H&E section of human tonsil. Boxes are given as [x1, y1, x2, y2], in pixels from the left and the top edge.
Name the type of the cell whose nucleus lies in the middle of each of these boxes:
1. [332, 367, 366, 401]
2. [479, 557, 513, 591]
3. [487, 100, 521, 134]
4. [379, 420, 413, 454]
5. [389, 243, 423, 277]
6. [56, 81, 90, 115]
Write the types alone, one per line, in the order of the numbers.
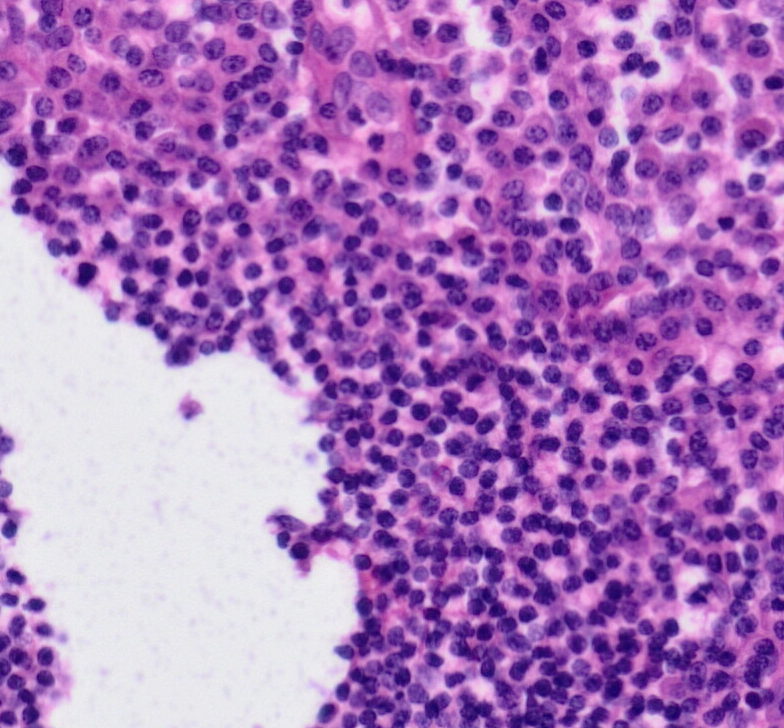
small lymphocyte
small lymphocyte
plasma cell
small lymphocyte
plasma cell
plasma cell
